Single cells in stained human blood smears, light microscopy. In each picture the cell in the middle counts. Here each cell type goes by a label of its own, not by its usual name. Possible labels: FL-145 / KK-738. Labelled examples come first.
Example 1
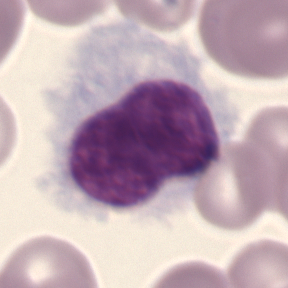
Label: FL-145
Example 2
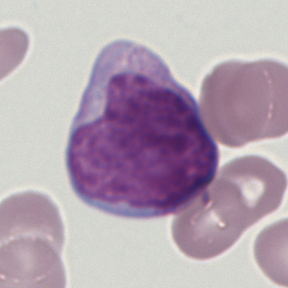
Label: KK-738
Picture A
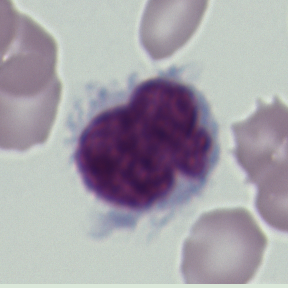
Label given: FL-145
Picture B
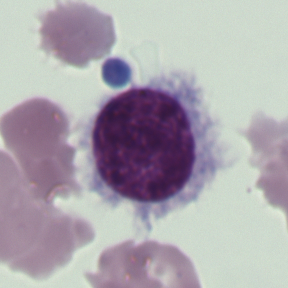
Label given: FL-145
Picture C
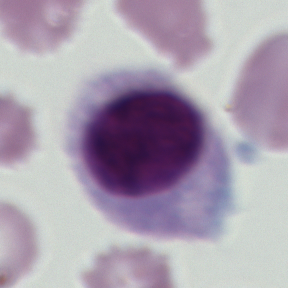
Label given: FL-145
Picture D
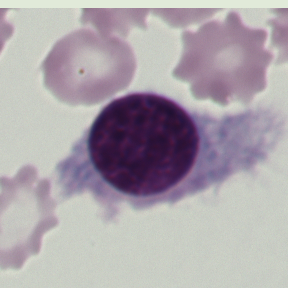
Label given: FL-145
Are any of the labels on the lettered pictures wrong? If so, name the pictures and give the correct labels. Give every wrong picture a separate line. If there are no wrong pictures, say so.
Nothing to fix; every label fits.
